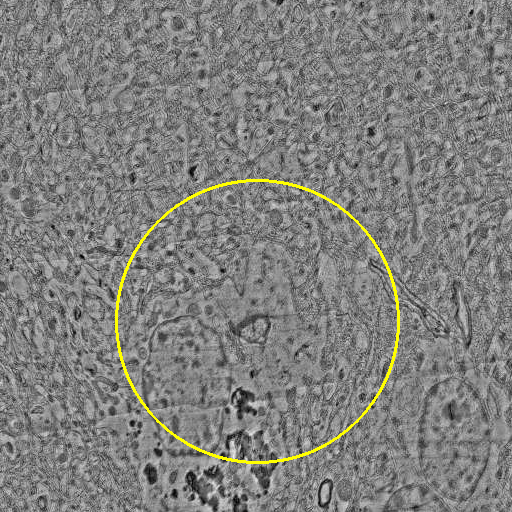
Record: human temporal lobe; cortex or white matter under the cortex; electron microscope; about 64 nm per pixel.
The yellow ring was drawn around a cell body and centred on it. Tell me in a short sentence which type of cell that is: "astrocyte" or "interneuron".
The cell at the ring's centre is an astrocyte.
